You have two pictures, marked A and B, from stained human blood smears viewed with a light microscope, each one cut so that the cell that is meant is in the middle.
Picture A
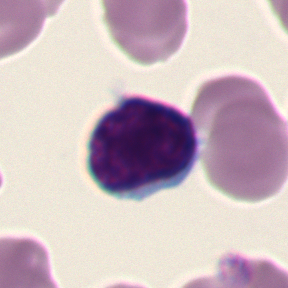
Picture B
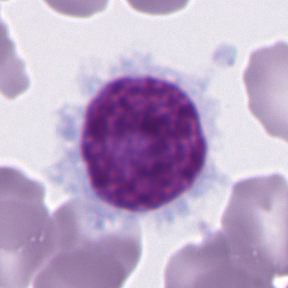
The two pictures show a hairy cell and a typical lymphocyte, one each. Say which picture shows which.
A: typical lymphocyte
B: hairy cell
